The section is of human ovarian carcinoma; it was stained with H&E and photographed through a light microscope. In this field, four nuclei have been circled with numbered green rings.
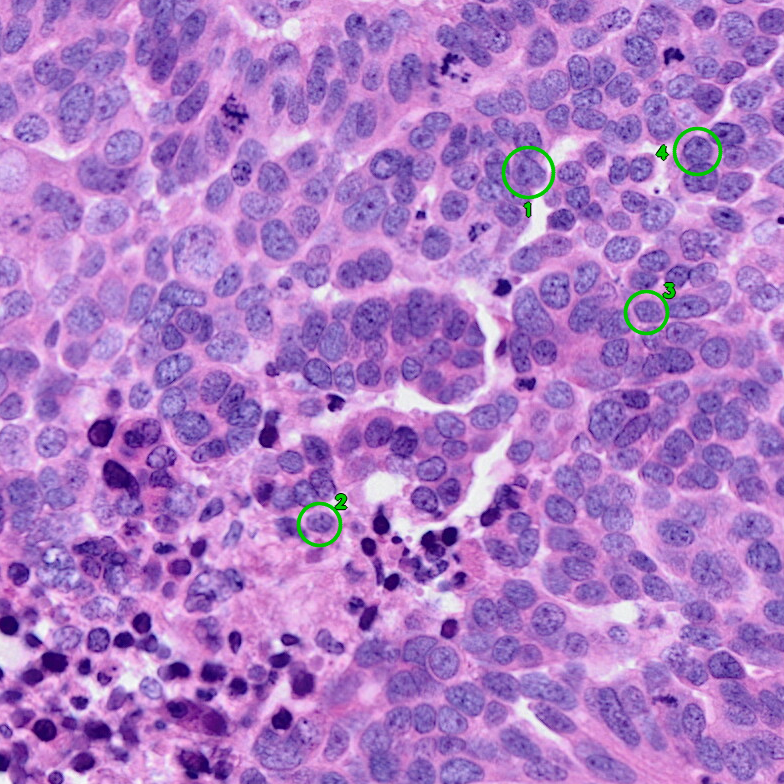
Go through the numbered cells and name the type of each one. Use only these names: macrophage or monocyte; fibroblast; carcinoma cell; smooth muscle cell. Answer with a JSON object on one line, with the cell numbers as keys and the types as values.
{"1": "carcinoma cell", "2": "macrophage or monocyte", "3": "carcinoma cell", "4": "carcinoma cell"}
